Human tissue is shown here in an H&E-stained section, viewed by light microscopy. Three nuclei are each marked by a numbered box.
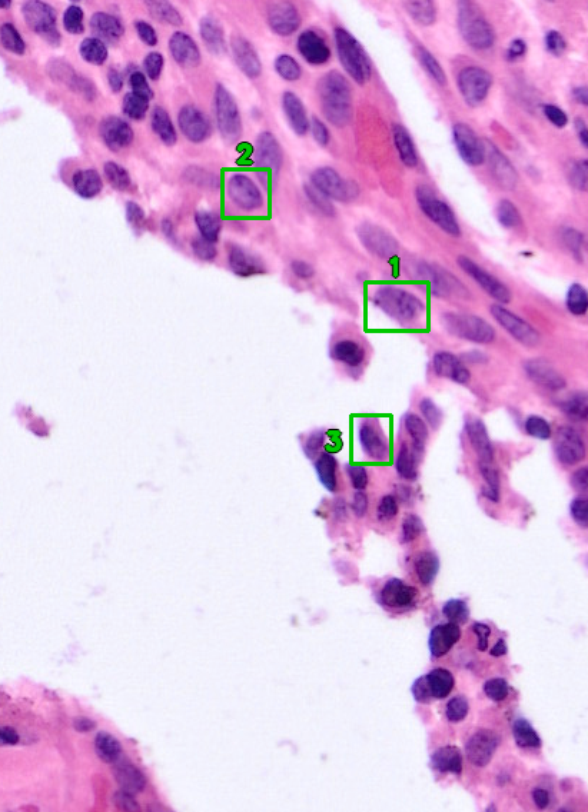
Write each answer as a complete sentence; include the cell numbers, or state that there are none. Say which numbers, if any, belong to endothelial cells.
Among the numbered cells, there are no endothelial cells.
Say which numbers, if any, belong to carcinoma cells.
Cell 3 alone, of all the numbered cells, is a carcinoma cell.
